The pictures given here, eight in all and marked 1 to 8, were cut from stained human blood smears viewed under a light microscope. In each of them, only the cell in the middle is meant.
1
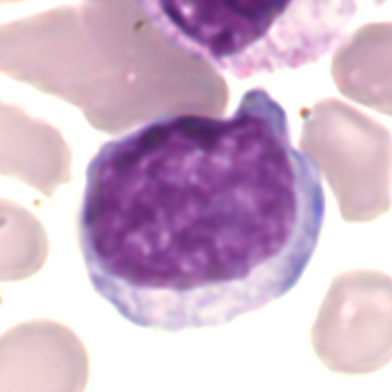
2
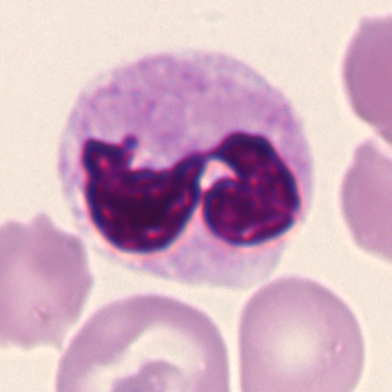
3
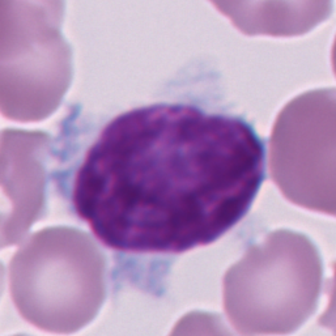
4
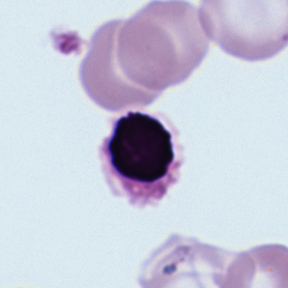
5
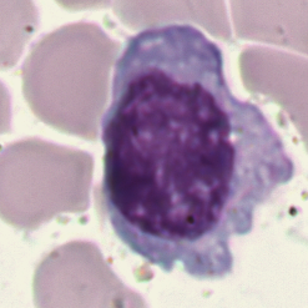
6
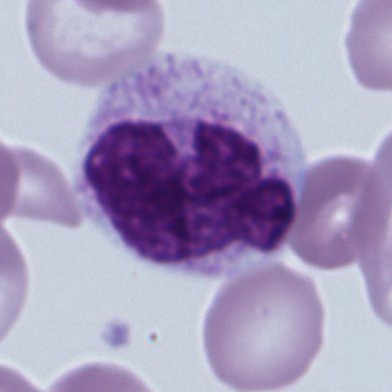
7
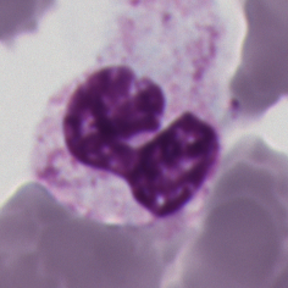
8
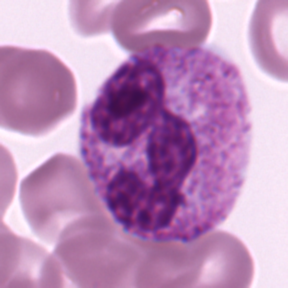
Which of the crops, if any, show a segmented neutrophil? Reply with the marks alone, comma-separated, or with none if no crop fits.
2, 6, 7, 8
